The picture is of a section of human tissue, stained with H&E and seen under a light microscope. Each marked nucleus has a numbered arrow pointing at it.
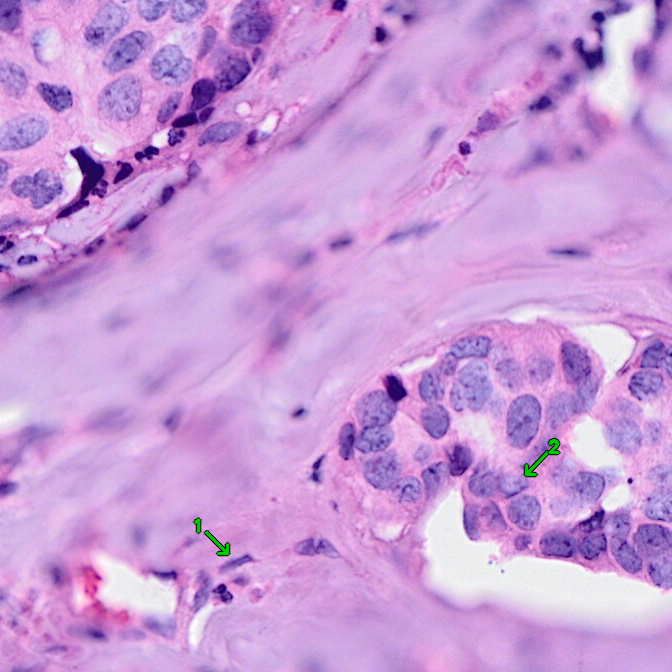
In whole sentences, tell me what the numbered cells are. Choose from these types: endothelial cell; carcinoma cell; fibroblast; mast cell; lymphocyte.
Cell 1 is a fibroblast. Cell 2 is a carcinoma cell.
